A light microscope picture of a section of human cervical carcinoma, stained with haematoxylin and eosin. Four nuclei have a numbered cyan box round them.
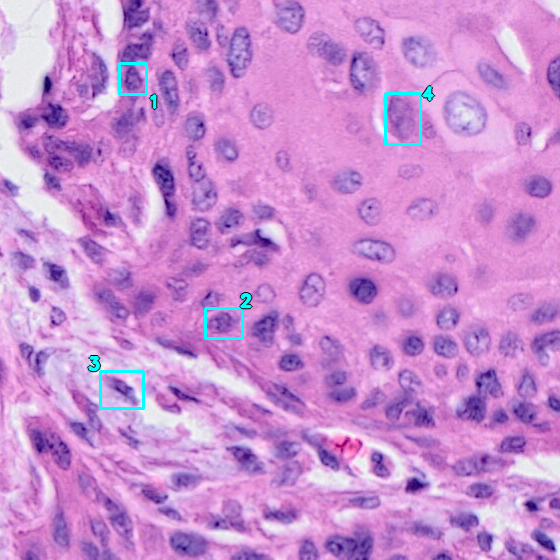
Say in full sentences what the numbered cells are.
Cell 1 is a squamous carcinoma cell, cell 2 is a squamous carcinoma cell, cell 3 is a fibroblast and cell 4 is a squamous carcinoma cell.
